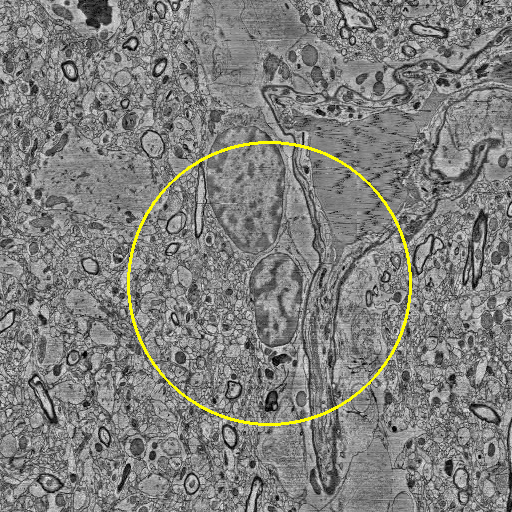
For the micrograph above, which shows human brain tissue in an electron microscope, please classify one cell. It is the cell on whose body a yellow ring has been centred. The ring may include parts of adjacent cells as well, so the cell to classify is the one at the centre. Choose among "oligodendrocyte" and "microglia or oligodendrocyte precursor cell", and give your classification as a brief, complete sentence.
I classify this cell as a microglial cell or oligodendrocyte precursor cell.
